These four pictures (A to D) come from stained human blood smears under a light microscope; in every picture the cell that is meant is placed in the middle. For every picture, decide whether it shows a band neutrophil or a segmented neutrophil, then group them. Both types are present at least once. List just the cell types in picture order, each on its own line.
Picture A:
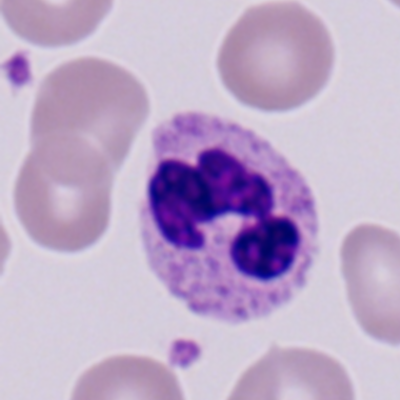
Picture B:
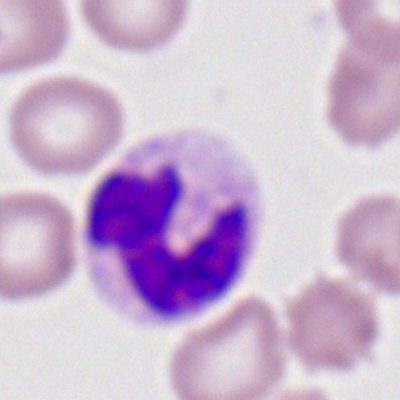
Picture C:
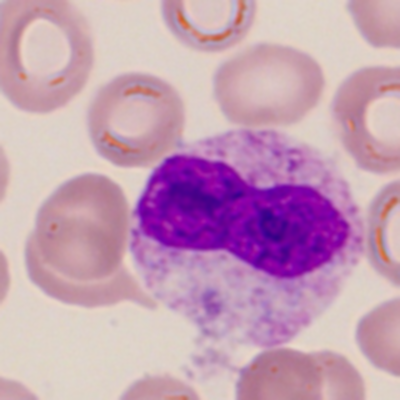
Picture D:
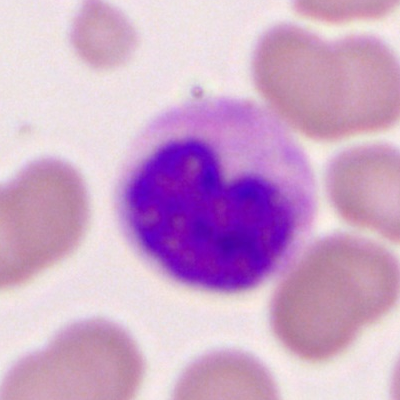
segmented neutrophil
segmented neutrophil
band neutrophil
band neutrophil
